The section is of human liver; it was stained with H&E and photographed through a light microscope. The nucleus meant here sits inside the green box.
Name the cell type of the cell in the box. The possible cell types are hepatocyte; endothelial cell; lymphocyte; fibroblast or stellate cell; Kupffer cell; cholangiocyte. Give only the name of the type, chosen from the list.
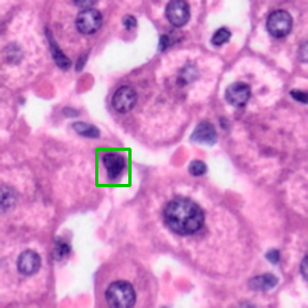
Kupffer cell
